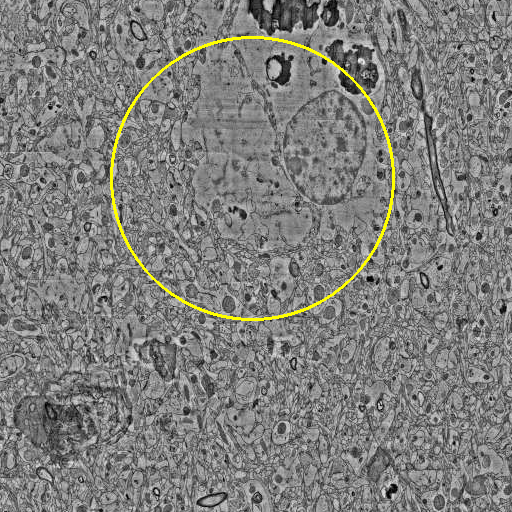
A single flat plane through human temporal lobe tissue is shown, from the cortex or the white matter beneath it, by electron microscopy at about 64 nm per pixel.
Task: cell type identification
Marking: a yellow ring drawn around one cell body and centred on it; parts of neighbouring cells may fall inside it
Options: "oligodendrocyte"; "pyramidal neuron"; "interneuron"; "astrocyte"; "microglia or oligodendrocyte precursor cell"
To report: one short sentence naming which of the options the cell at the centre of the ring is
The cell at the centre of the ring is an astrocyte.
